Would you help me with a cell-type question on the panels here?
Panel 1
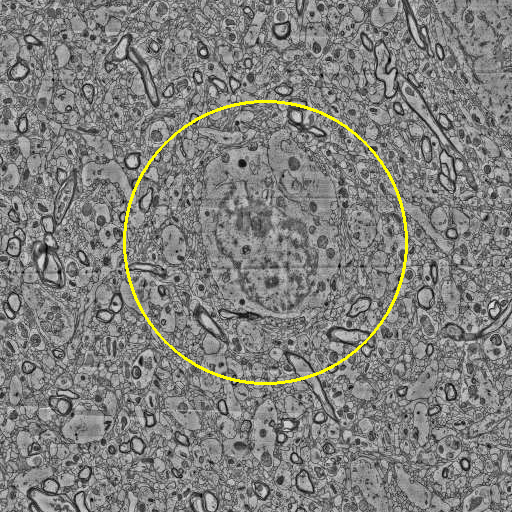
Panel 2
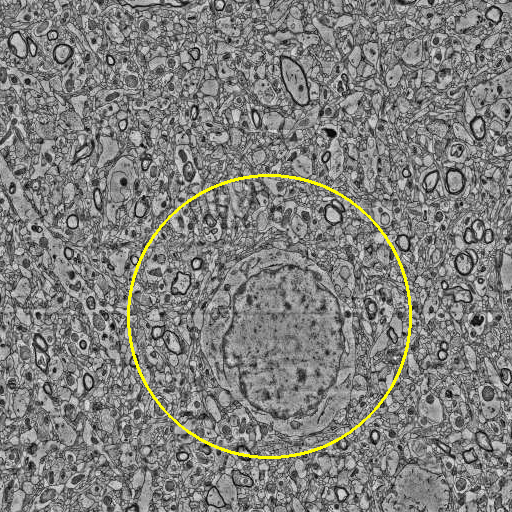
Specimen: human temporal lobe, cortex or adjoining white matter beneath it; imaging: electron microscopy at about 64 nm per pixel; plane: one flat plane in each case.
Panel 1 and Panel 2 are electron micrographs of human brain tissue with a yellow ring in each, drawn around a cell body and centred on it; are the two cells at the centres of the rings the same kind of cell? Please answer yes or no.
yes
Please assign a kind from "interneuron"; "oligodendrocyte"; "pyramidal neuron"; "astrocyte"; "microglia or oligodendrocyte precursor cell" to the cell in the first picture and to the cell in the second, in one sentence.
The second cell is an interneuron, just as the first is.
